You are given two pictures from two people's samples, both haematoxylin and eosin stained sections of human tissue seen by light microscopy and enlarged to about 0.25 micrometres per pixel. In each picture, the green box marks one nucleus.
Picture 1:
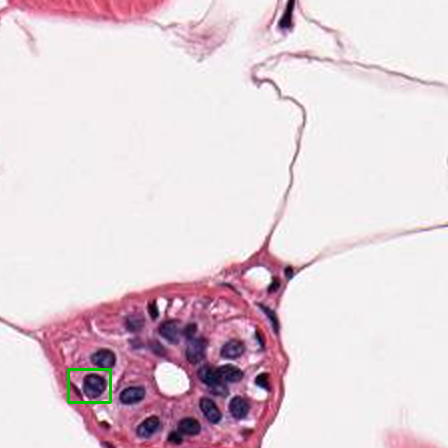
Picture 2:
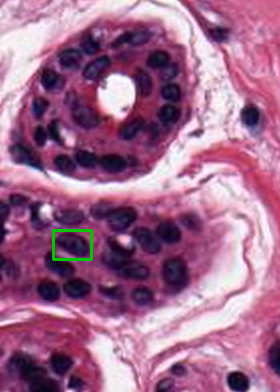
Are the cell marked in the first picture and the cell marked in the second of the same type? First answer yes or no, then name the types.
Yes, both are sweat gland cells.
